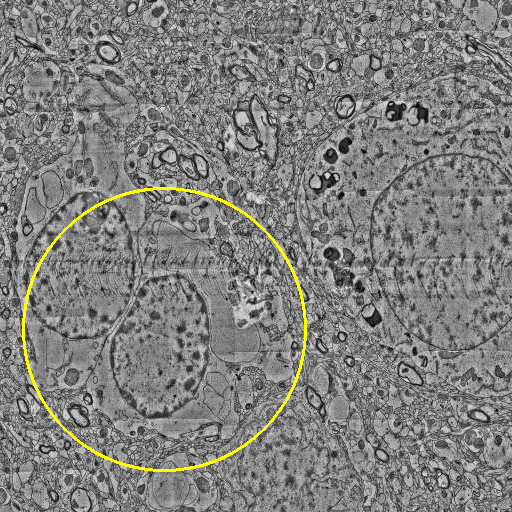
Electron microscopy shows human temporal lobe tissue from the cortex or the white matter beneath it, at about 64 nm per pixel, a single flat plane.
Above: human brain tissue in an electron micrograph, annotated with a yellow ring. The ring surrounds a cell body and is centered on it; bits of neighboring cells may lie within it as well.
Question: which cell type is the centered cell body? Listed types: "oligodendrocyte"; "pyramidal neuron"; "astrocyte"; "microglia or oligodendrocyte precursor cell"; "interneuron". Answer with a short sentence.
The centered cell body is an astrocyte.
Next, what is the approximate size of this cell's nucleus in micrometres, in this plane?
The nucleus comes to roughly 9 by 6 micrometres in this plane.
